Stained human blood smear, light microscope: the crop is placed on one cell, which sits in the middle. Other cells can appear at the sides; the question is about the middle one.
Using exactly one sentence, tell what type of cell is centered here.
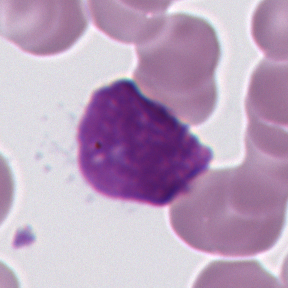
Positioned in the middle of the crop is a smudge cell.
